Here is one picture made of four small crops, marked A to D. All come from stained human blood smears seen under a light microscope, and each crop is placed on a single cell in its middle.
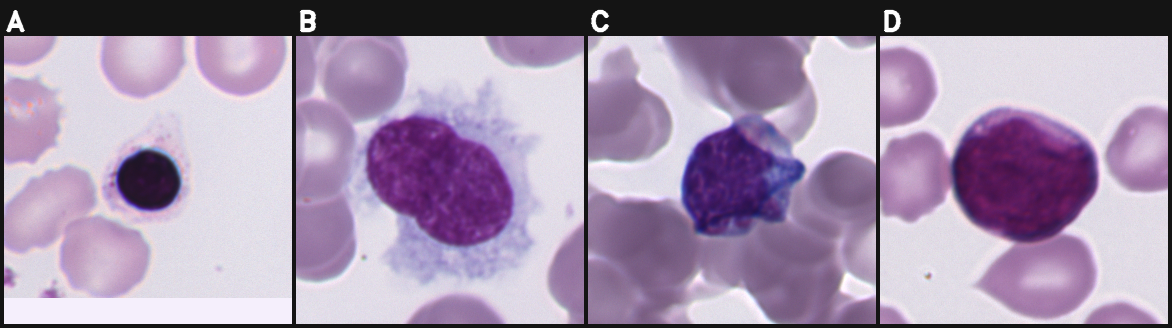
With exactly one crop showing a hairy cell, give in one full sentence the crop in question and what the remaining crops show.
Among the crops, crop B shows a hairy cell, while crop A is a normoblast, crop C is a typical lymphocyte and crop D is a myeloblast.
